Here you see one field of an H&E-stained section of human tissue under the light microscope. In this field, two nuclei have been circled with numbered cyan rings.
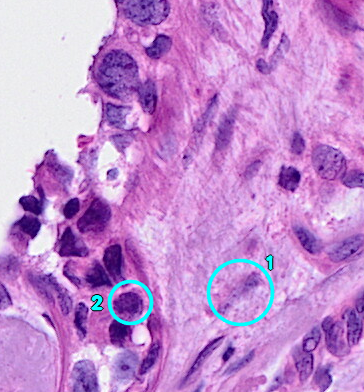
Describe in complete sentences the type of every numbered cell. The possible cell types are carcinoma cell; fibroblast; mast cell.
Cell 1 is a fibroblast. Cell 2 is a carcinoma cell.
